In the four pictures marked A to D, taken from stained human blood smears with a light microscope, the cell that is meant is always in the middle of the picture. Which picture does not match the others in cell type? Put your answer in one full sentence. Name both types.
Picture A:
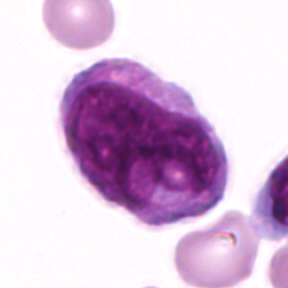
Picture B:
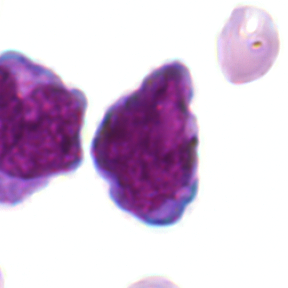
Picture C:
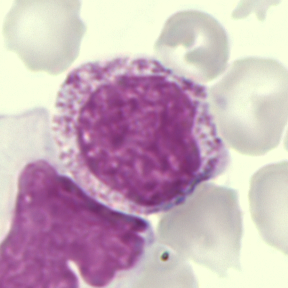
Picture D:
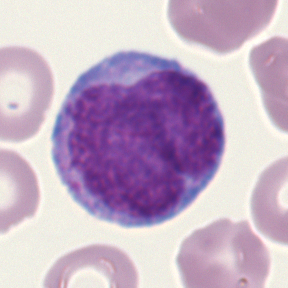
Picture C is the odd one out: it shows a myelocyte, while the others show atypical promyelocytes.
